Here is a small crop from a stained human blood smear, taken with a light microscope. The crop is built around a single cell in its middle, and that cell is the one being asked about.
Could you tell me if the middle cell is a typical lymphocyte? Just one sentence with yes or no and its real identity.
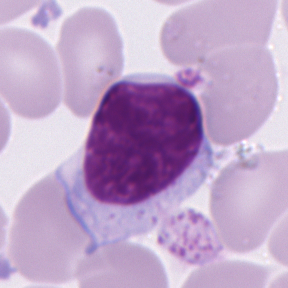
No, wrong label: the middle cell is a large granular lymphocyte instead of a typical lymphocyte.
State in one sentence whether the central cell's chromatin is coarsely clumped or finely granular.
The chromatin in this nucleus is coarsely clumped.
